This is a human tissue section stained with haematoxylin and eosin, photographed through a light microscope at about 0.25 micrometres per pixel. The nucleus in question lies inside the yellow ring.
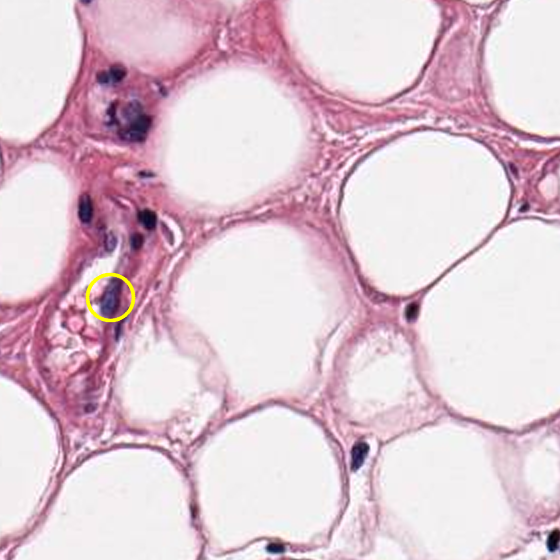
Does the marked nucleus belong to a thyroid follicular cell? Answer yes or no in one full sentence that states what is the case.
No, it is a supporting cell whose nucleus is marked, not a thyroid follicular cell.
